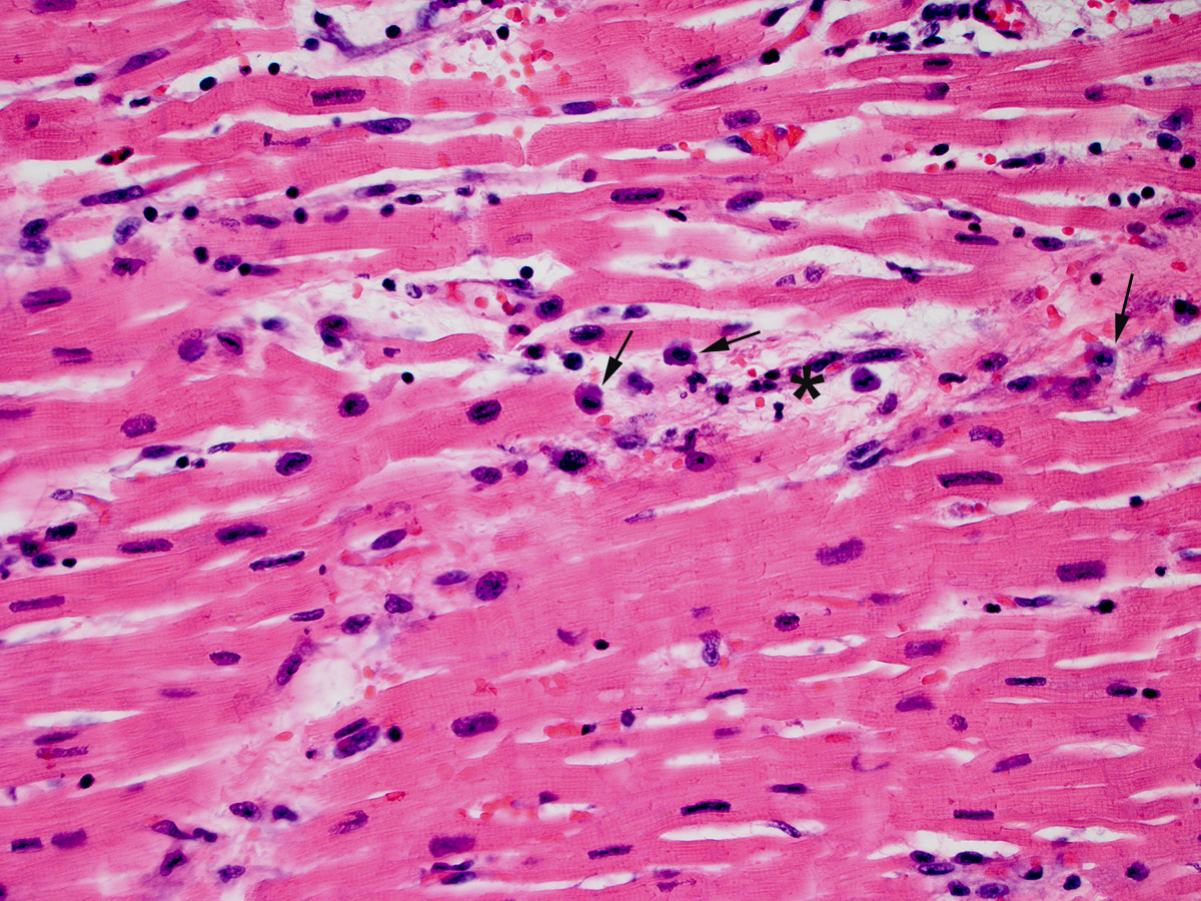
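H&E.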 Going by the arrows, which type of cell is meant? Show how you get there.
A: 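The cells at the arrows have round to oval nuclei with a rim of pale purple cytoplasm. These cells are larger than the nearby small dark round nuclei scattered between fibers. They cluster in the cleared focus between the muscle fibers.
Macrophages.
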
